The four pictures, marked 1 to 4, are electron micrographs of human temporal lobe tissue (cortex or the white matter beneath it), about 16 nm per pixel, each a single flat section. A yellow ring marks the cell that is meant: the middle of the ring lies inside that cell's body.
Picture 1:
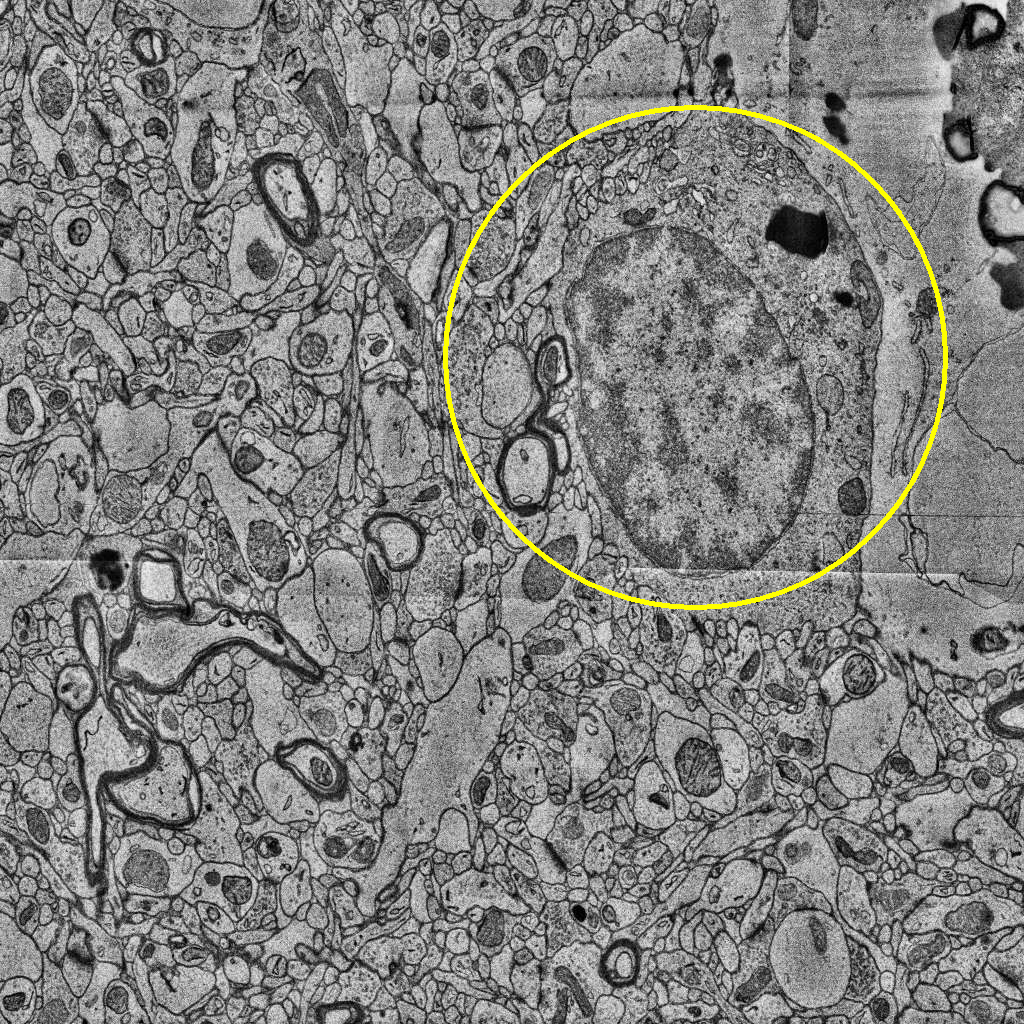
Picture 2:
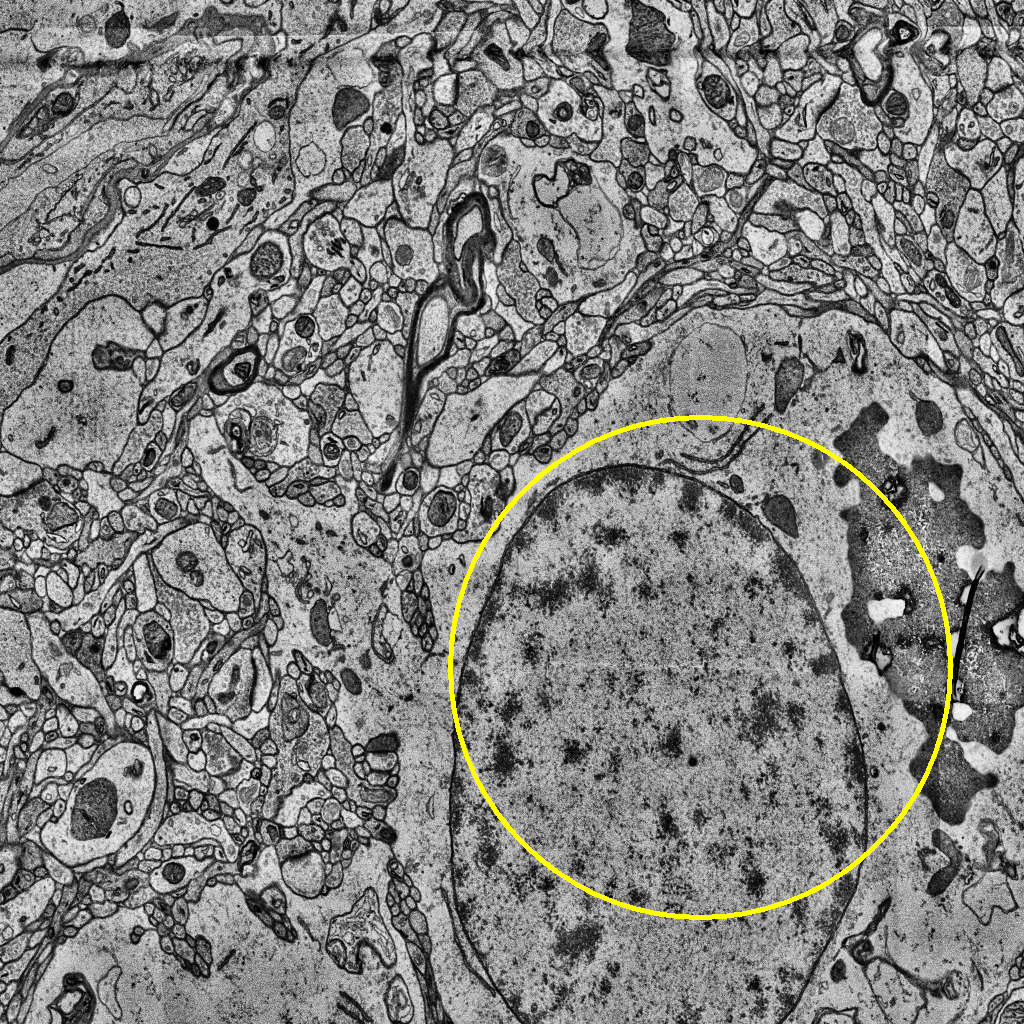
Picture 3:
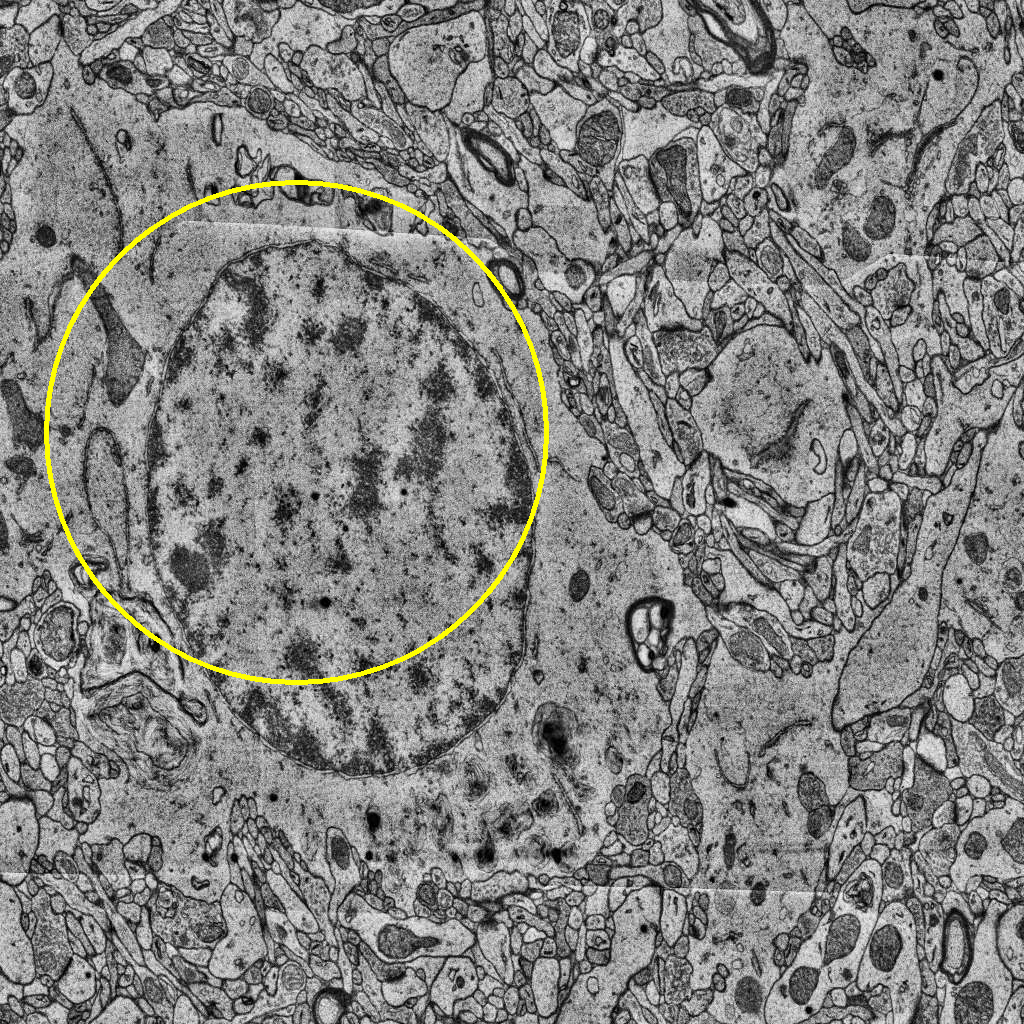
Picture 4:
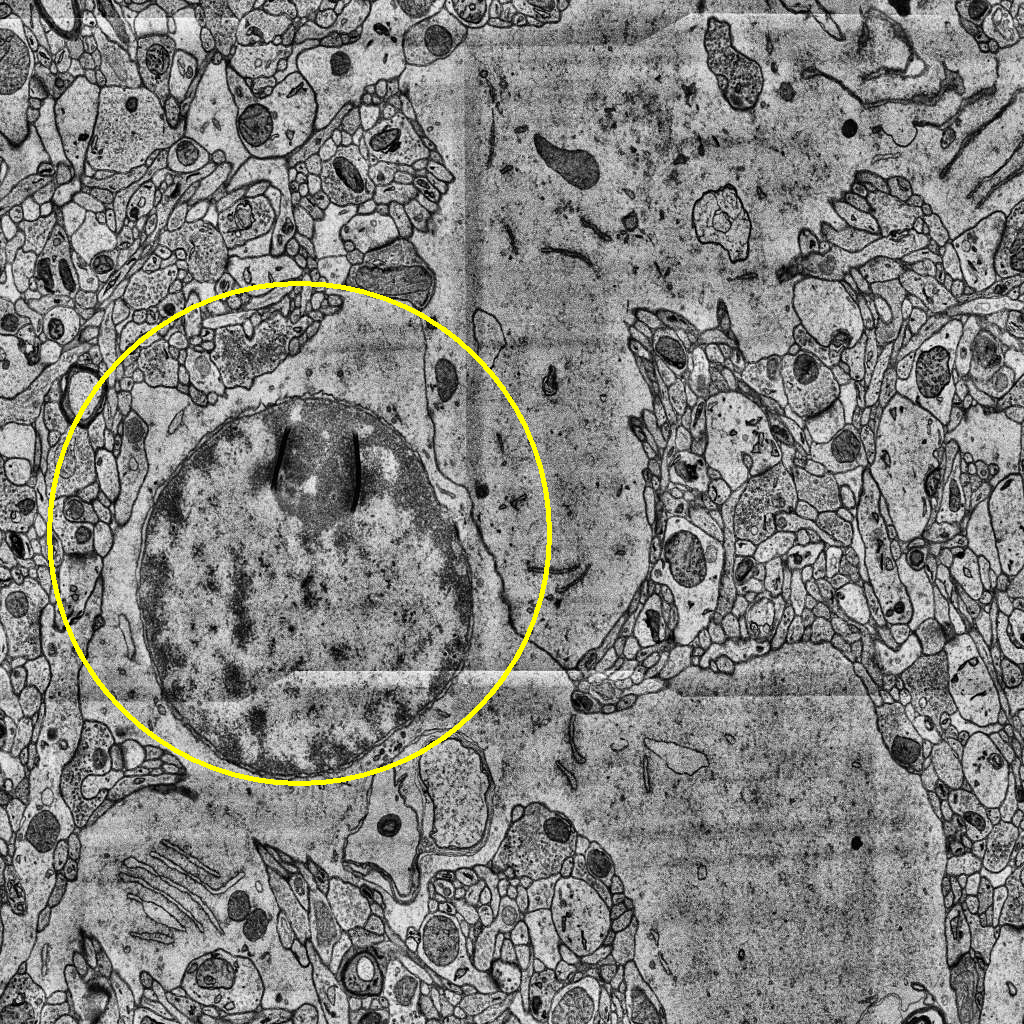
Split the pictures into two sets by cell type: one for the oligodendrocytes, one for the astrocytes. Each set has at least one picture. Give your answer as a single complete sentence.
Picture 1 shows an oligodendrocyte; pictures 2, 3 and 4 show astrocytes.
